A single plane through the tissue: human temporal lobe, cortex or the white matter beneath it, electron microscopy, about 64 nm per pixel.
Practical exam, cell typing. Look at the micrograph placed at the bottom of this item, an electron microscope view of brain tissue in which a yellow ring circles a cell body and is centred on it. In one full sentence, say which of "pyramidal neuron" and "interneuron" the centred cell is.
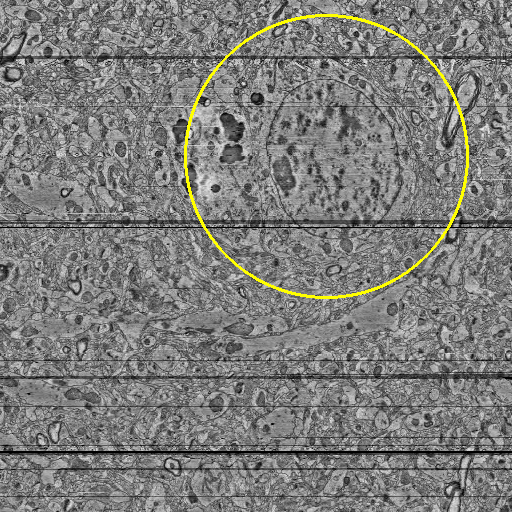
Given the options, a pyramidal neuron fits the cell whose body the yellow ring is centred on.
